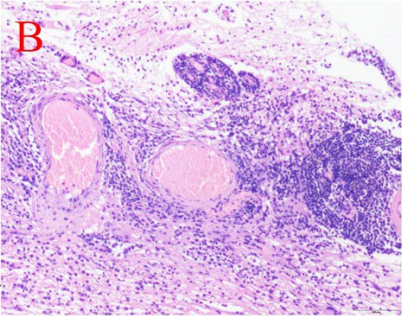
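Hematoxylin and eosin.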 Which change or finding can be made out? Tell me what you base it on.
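Thick-walled vessels with pink contents at the left. Small dark round cells gathered around the vessel walls.
Hence: cuff-like changes.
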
